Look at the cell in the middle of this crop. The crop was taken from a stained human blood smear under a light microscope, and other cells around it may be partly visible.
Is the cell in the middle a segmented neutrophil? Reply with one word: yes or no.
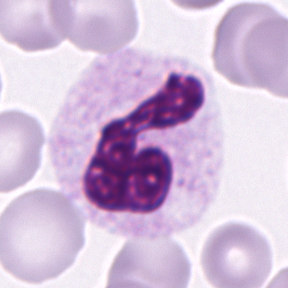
yes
